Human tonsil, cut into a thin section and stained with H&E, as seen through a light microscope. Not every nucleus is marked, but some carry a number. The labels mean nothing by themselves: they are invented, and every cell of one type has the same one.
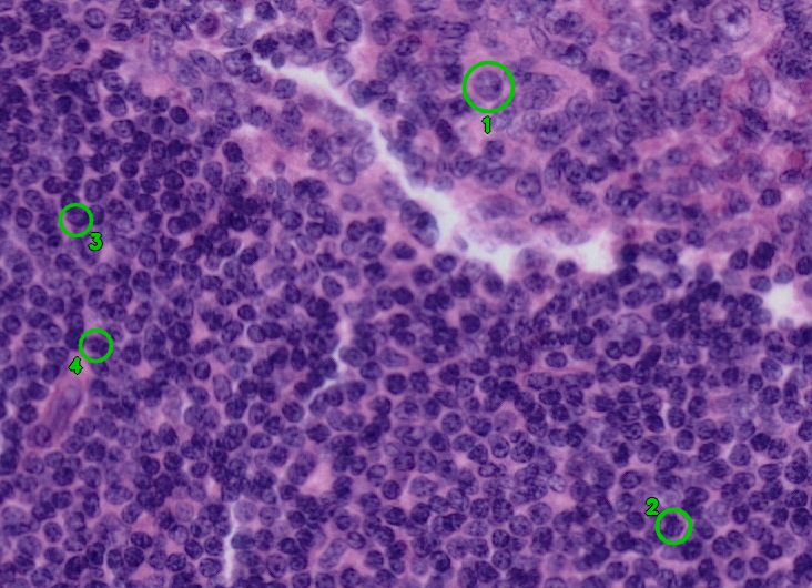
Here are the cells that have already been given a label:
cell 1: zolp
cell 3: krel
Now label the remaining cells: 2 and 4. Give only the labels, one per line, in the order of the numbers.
krel
krel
